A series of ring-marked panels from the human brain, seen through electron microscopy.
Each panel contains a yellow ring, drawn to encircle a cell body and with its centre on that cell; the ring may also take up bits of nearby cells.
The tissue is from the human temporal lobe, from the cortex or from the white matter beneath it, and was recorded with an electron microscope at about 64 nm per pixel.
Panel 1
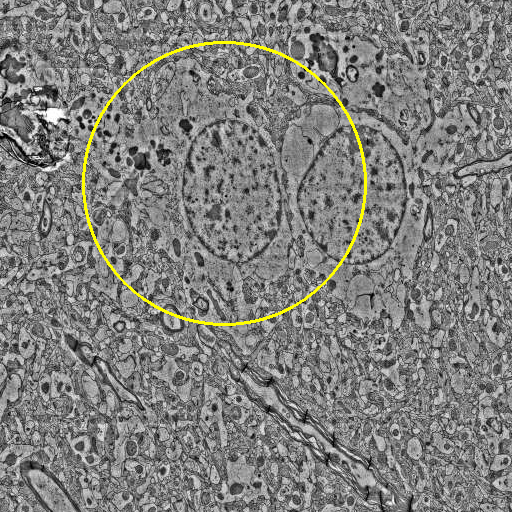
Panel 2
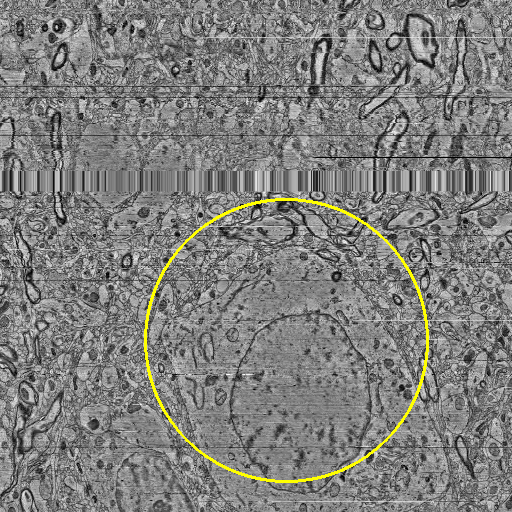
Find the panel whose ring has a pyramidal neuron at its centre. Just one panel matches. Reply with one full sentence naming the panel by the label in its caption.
The sought cell lies at the centre of the ring shown in Panel 2.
